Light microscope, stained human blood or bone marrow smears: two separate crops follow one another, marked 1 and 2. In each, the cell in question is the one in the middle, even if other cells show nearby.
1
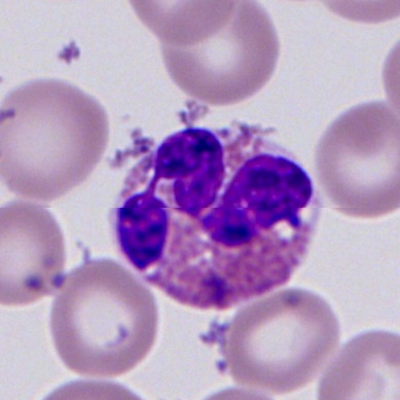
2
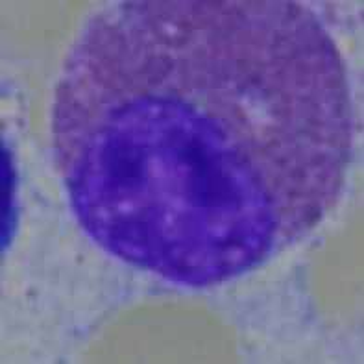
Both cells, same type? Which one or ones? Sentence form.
Yes, these two crops both show eosinophils.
